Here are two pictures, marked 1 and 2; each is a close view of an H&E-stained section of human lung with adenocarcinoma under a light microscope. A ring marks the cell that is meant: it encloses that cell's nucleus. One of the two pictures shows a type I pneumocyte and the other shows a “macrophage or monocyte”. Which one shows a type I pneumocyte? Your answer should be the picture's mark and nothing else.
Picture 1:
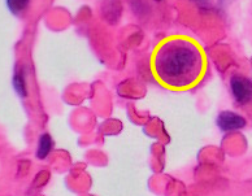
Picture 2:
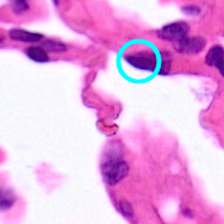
2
